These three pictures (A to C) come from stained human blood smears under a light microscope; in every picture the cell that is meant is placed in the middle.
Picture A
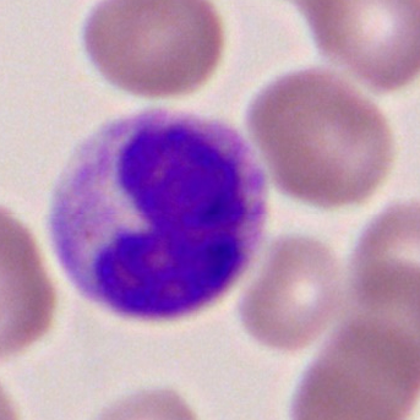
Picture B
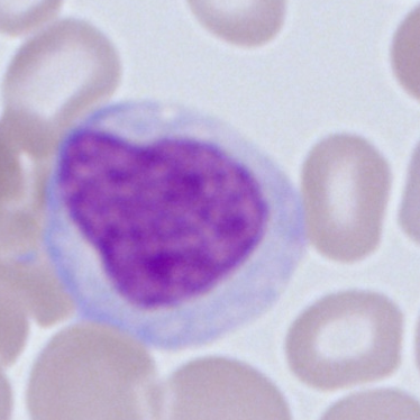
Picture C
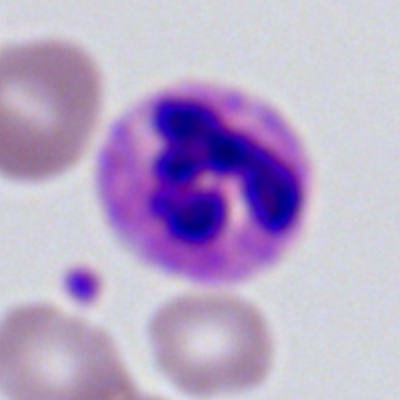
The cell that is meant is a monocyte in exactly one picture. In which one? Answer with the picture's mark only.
B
